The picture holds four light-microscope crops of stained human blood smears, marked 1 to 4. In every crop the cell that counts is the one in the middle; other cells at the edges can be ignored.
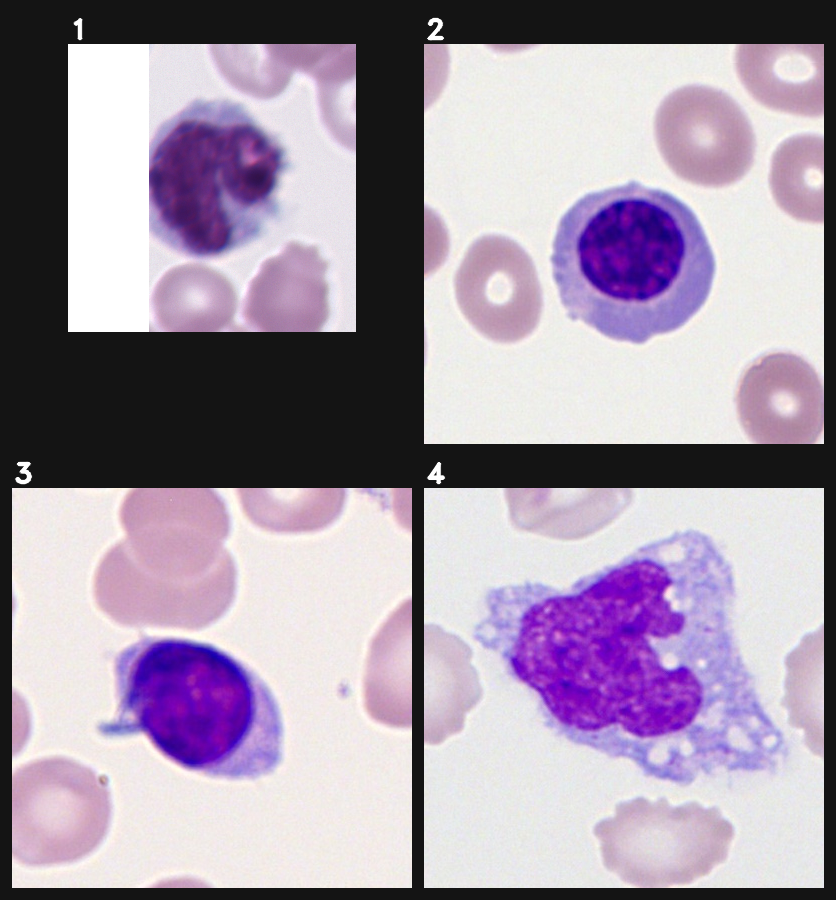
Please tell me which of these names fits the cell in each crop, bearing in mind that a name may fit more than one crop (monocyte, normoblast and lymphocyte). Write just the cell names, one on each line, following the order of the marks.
monocyte
normoblast
lymphocyte
monocyte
